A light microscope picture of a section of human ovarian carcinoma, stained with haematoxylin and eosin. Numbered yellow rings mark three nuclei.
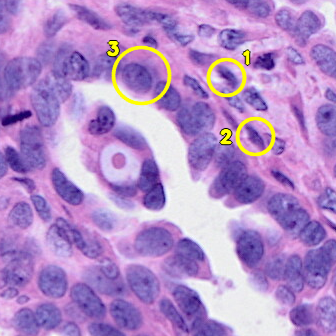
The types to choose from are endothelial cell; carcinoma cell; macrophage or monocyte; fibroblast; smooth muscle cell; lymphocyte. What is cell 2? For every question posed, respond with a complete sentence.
The correct answer for cell 2 is a fibroblast.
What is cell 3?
Cell 3, among those numbered, is a carcinoma cell.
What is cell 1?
The cell bearing label 1 corresponds to a fibroblast.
